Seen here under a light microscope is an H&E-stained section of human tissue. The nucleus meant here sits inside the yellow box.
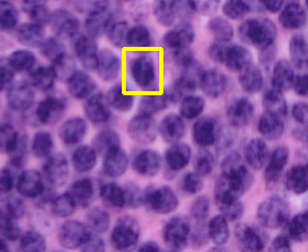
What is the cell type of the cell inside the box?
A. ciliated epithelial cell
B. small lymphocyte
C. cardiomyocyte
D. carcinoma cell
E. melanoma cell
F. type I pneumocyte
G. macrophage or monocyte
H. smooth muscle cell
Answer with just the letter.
B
